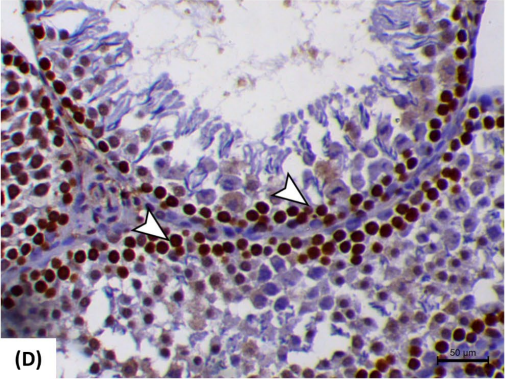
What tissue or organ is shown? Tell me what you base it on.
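Seminiferous tubules. Curved tubule walls lined by stratified layers of round germ cell nuclei. Bundles of elongated sperm heads and tails face a central lumen. Thin interstitial tissue between adjacent tubules.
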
